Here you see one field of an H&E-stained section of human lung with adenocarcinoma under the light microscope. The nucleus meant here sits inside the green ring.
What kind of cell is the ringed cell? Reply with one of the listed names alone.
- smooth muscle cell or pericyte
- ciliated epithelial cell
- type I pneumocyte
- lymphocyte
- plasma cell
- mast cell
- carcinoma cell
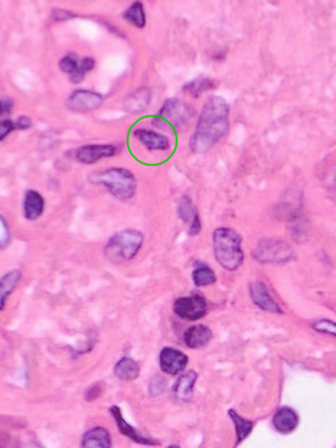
mast cell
